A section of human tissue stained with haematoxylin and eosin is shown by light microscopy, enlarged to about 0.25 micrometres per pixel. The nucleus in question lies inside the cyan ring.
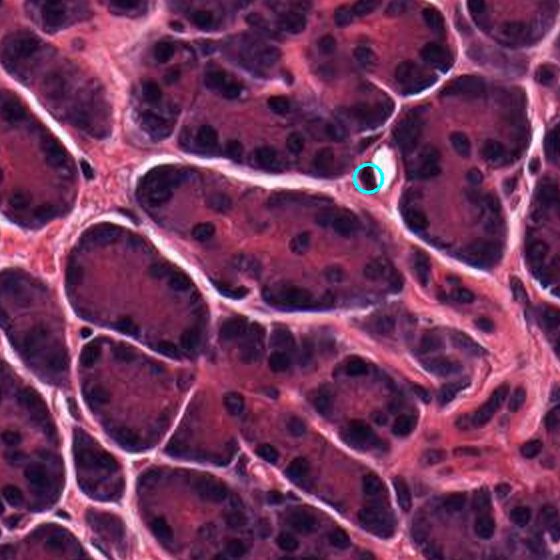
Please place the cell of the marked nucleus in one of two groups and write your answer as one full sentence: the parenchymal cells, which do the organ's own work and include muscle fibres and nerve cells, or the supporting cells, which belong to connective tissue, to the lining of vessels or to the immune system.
Forming part of a supporting cell is the marked nucleus.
